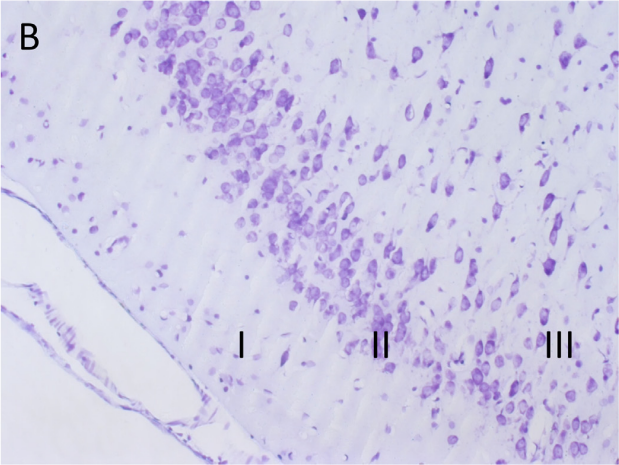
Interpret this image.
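This is piriform cortex stained violet, showing its superficial layers. Next to the pial surface on the left lies a cell-sparse layer with only scattered small cells. Deeper still the neurons are more loosely spaced, with individual cell bodies and the starts of processes visible.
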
